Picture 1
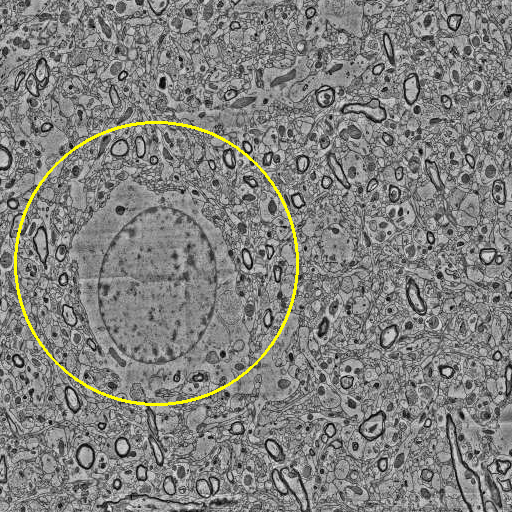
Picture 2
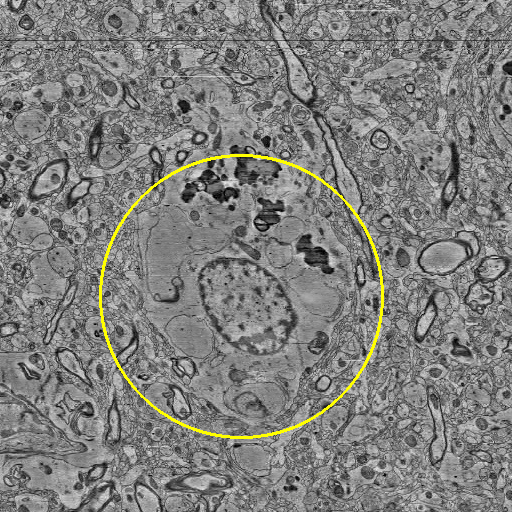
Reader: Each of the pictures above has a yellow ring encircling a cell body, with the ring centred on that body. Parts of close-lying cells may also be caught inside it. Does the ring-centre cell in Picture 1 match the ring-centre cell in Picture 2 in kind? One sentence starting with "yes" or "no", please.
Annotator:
Yes, Picture 1 and Picture 2 show ring-centre cells of a single kind.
